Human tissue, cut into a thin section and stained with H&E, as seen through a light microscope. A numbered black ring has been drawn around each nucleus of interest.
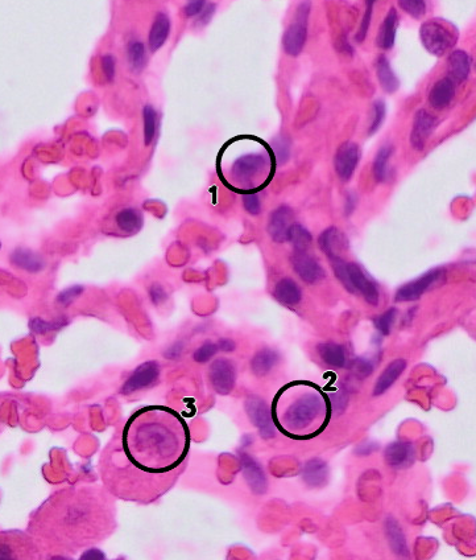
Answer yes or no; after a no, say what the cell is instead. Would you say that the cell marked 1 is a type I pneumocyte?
Yes.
